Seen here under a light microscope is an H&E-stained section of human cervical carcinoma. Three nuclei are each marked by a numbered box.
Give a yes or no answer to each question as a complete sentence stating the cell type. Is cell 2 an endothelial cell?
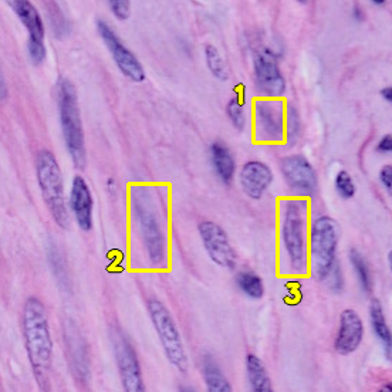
No, cell 2 is a smooth muscle cell; it is not an endothelial cell.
